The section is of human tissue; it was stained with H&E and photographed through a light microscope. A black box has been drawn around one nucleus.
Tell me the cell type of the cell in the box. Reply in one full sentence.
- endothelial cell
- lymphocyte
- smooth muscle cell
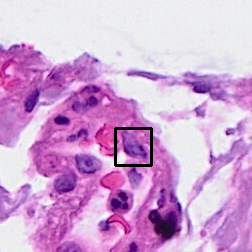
For the purposes of cell typing, the cell in the box is categorized as an endothelial cell.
